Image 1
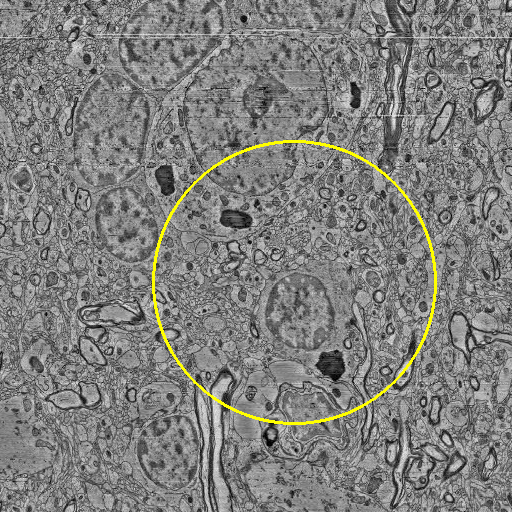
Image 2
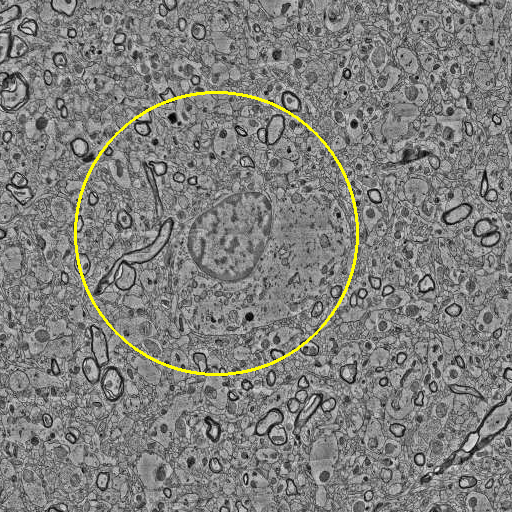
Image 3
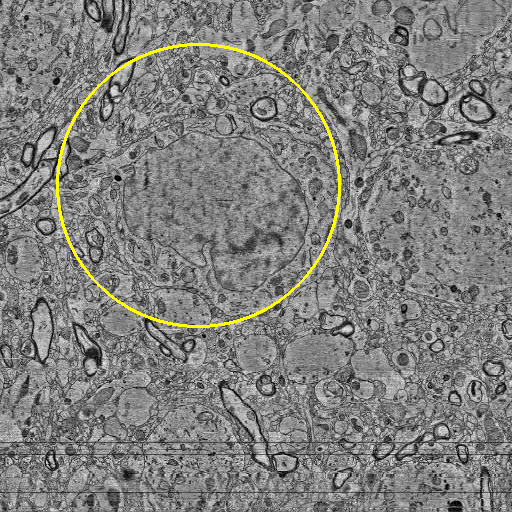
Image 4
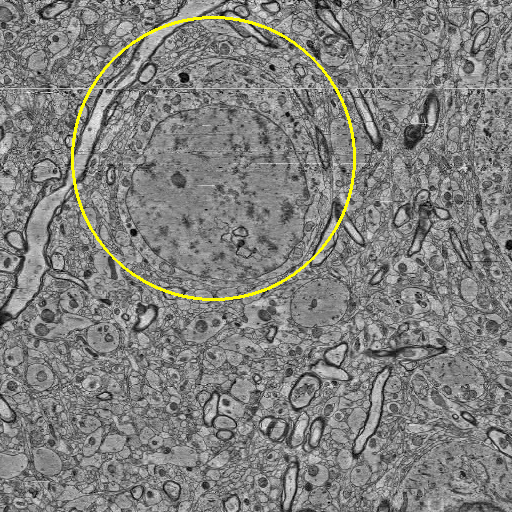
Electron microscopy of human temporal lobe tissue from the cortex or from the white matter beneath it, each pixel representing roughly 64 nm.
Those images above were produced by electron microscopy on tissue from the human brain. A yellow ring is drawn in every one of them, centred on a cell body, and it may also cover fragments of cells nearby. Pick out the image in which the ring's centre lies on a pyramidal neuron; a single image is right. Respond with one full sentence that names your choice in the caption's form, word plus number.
Image 4 is my choice: its ring is centred on the requested cell.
